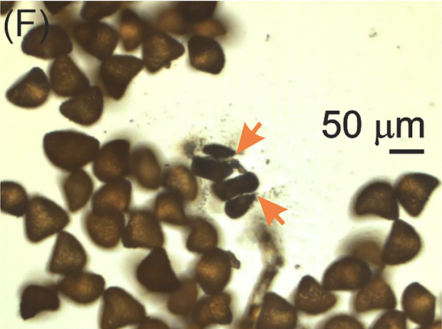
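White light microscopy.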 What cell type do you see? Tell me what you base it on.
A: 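Spores. Many separate rounded-triangular brown bodies, each a few tens of micrometres across.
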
